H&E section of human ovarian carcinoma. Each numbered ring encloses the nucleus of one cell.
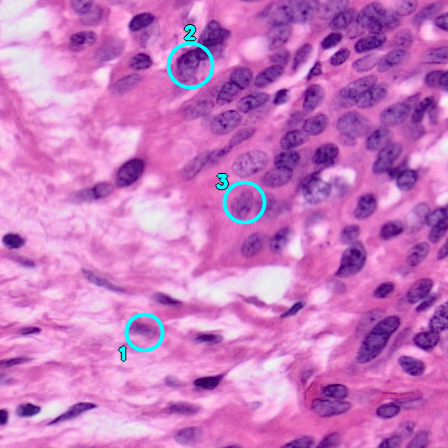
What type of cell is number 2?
carcinoma cell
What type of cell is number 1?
fibroblast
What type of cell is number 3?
carcinoma cell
